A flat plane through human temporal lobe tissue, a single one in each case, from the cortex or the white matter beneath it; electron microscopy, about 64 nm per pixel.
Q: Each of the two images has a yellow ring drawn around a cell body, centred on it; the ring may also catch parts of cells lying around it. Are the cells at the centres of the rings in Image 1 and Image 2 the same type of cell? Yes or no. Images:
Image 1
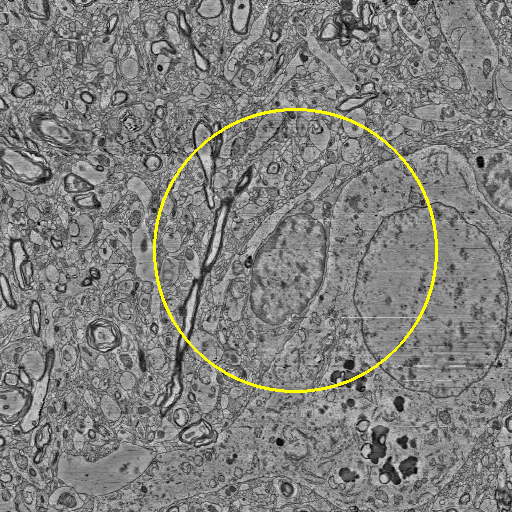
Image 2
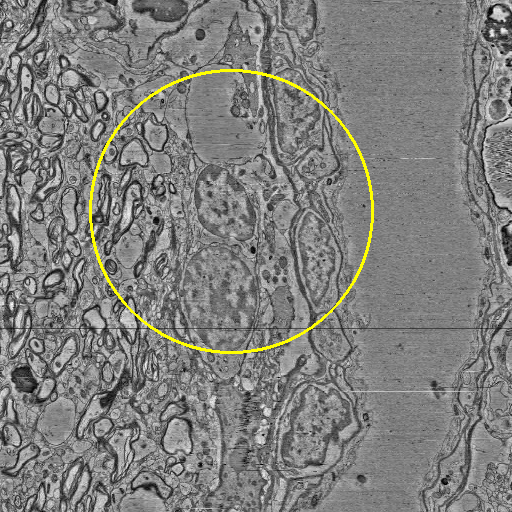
no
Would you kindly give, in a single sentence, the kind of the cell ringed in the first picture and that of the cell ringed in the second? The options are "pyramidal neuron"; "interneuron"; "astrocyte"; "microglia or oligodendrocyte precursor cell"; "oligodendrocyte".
The second cell is a microglial cell or oligodendrocyte precursor cell, and the first cell is an oligodendrocyte.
